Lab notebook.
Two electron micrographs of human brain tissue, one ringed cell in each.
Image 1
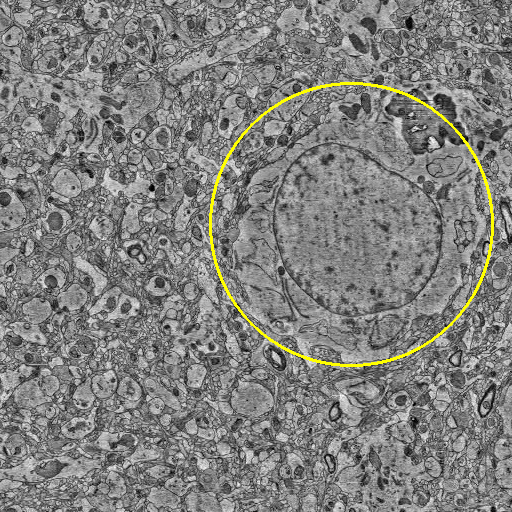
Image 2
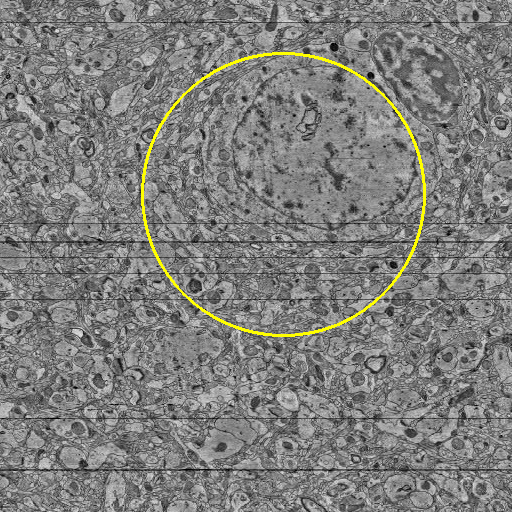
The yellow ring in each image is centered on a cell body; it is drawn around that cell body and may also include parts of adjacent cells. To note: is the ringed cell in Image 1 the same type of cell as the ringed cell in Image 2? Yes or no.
no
